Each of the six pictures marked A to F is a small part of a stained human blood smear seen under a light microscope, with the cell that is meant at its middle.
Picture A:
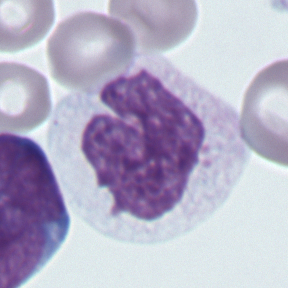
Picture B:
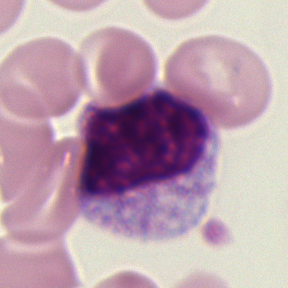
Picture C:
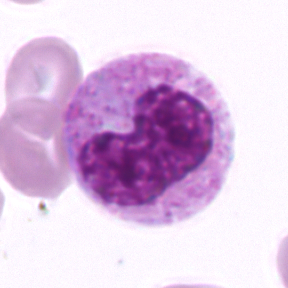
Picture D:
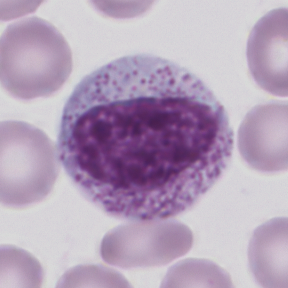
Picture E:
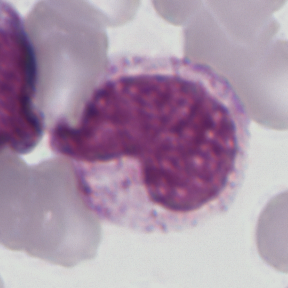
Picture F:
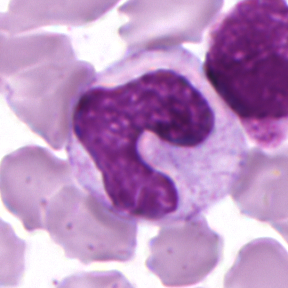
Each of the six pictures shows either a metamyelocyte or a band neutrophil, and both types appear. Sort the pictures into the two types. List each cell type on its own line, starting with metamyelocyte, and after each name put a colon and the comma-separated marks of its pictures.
metamyelocyte: B, C, D
band neutrophil: A, E, F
